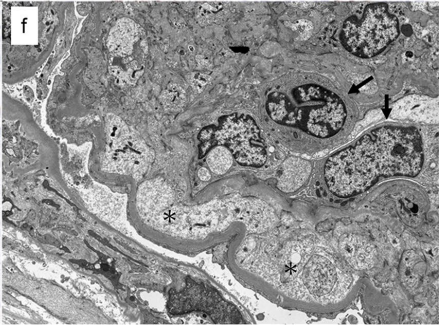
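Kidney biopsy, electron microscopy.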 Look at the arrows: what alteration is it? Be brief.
Endothelial proliferation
